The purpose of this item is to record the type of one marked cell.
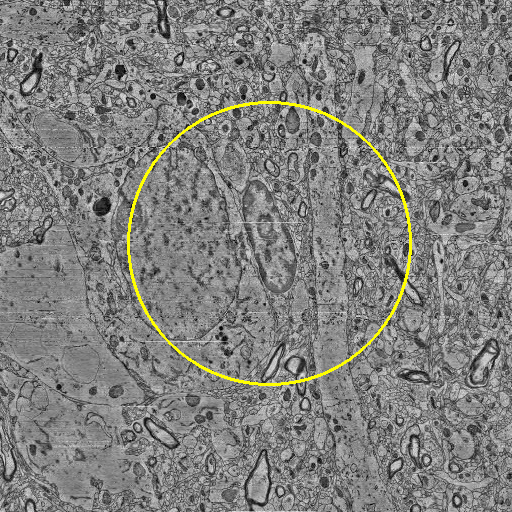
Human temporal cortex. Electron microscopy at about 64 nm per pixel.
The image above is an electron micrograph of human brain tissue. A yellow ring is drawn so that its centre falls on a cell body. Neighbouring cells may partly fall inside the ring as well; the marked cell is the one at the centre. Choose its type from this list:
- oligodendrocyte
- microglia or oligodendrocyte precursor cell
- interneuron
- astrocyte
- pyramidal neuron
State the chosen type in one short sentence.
What the ring marks here is a microglial cell or oligodendrocyte precursor cell.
